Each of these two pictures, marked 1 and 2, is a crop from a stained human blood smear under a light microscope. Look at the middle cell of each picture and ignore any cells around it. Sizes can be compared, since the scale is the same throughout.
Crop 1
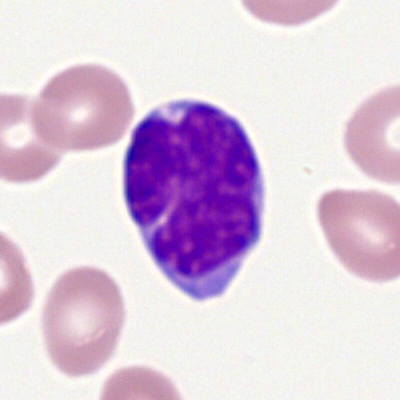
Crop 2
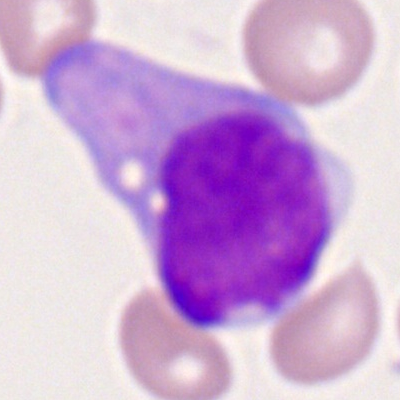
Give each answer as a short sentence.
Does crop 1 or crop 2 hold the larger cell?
It is the cell in crop 2, about 2 times as large in area as the cell in crop 1.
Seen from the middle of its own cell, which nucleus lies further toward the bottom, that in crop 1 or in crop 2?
It is the nucleus in crop 2 that lies further toward the bottom of its cell.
